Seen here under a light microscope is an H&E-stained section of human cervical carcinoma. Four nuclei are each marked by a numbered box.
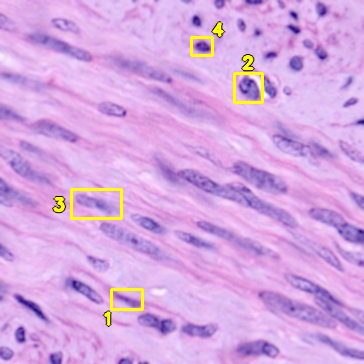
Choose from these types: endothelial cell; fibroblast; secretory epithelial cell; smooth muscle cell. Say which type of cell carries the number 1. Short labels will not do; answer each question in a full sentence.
Looking at the numbered marks, cell 1 is a smooth muscle cell.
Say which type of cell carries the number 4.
Numbered cell 4 is a smooth muscle cell in this tissue section.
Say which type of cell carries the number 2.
The cell identified by number 2 is an endothelial cell.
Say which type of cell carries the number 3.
The one labeled 3 is a smooth muscle cell, to put it simply.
